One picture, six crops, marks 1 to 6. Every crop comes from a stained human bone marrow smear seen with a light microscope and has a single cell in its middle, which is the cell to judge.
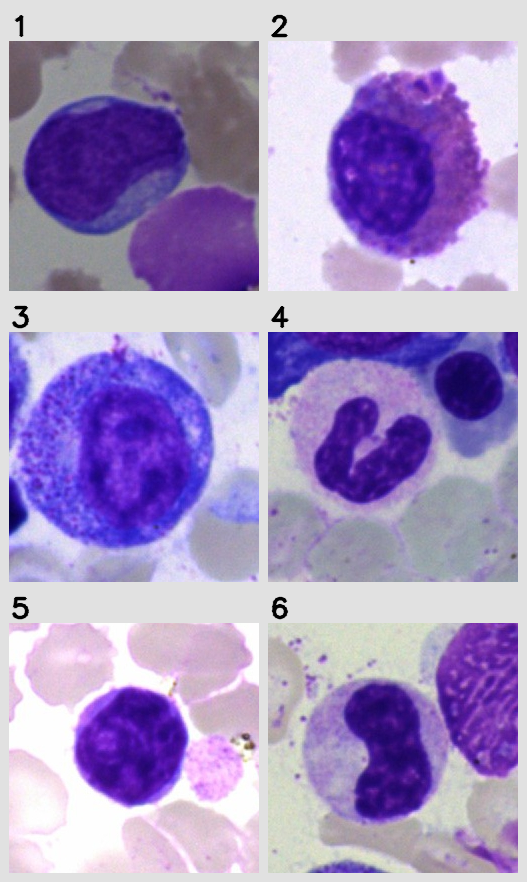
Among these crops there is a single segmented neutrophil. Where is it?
4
